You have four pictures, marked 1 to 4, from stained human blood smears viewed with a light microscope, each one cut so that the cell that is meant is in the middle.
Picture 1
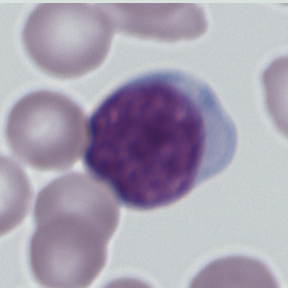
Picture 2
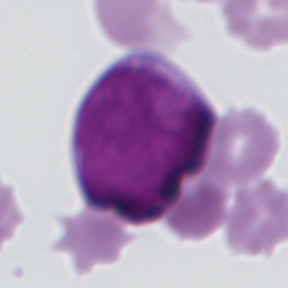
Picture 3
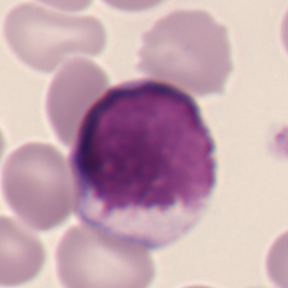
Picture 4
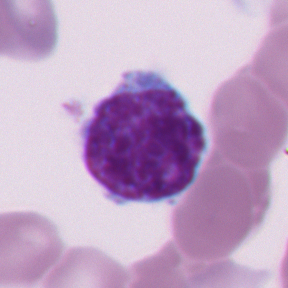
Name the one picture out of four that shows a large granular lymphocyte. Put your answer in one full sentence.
The picture with the large granular lymphocyte is 3.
